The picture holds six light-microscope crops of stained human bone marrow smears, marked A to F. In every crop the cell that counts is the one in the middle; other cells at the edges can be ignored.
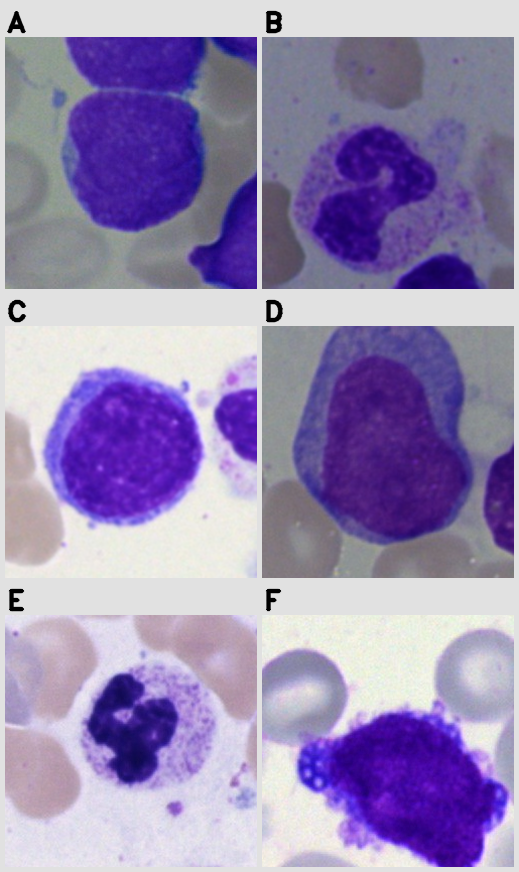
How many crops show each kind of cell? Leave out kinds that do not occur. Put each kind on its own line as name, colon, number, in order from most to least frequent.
blast: 4
segmented neutrophil: 2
